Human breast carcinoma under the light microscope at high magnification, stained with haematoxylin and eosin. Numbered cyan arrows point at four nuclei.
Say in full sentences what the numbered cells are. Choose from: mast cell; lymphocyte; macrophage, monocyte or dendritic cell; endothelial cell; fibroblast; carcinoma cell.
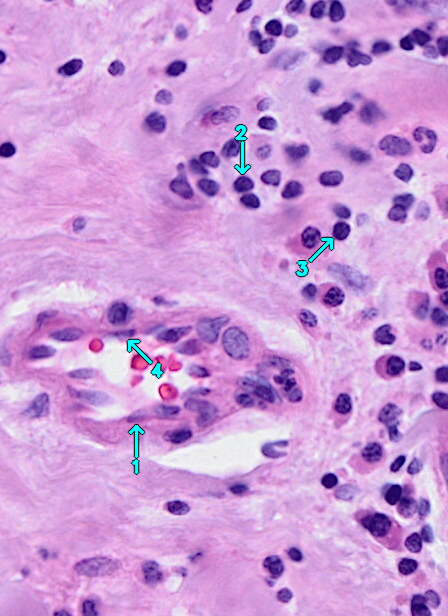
Cells 1 and 4 are endothelial cells. Cells 2 and 3 are lymphocytes.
